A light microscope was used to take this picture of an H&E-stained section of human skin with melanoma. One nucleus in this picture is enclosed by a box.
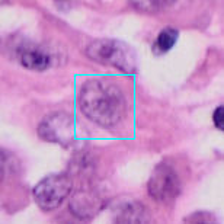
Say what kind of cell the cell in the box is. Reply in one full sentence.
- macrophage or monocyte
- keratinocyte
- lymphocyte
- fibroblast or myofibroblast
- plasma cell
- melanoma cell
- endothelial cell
In the context of this tissue, the cell in the box is a melanoma cell.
